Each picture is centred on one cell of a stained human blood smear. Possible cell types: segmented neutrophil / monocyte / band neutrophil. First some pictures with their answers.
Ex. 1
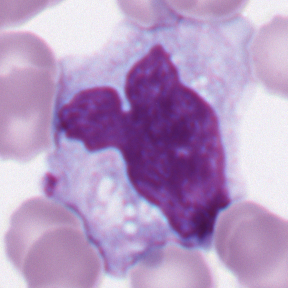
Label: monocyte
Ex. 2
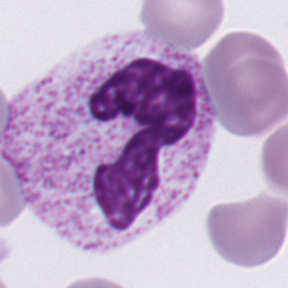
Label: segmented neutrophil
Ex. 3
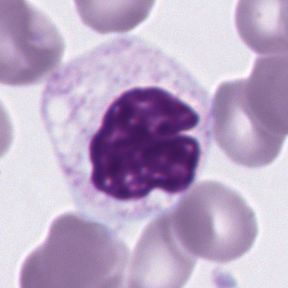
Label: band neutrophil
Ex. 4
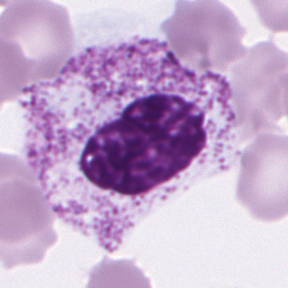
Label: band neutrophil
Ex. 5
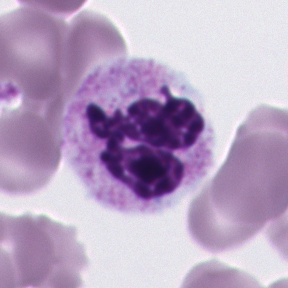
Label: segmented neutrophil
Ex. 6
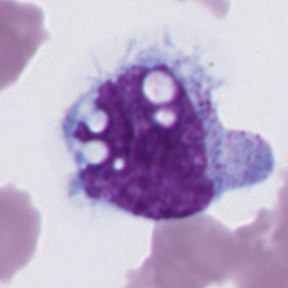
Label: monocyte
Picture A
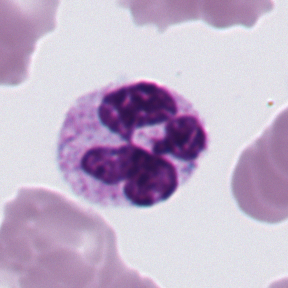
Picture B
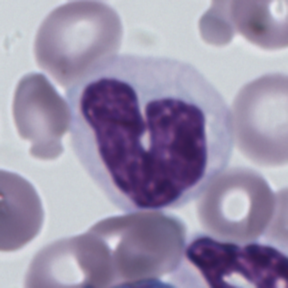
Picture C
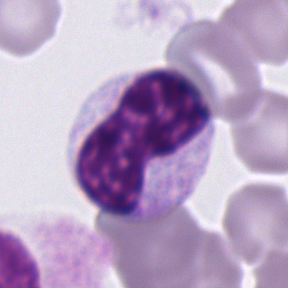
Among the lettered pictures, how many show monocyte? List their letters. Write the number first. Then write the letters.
0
